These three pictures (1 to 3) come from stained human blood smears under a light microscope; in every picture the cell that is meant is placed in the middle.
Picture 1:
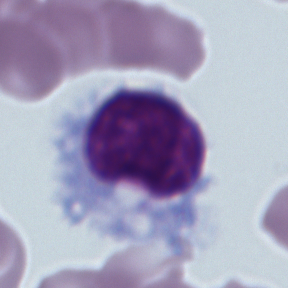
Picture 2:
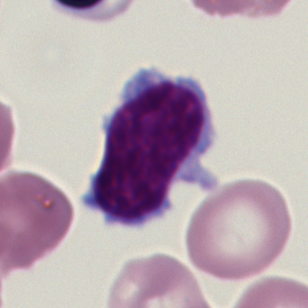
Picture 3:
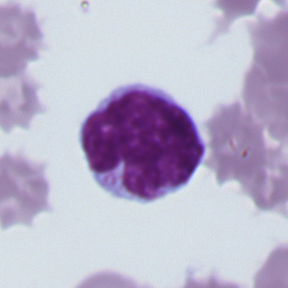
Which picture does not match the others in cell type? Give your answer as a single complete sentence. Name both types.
Picture 1 differs, because its cell is a hairy cell and the rest are typical lymphocytes.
